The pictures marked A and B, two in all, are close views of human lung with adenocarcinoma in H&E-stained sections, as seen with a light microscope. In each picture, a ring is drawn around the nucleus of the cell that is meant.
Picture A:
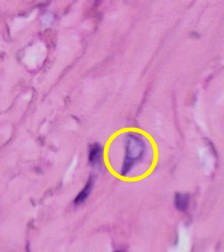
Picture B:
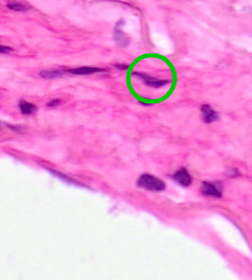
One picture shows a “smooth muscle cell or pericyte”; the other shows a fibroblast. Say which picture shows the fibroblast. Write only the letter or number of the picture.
A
